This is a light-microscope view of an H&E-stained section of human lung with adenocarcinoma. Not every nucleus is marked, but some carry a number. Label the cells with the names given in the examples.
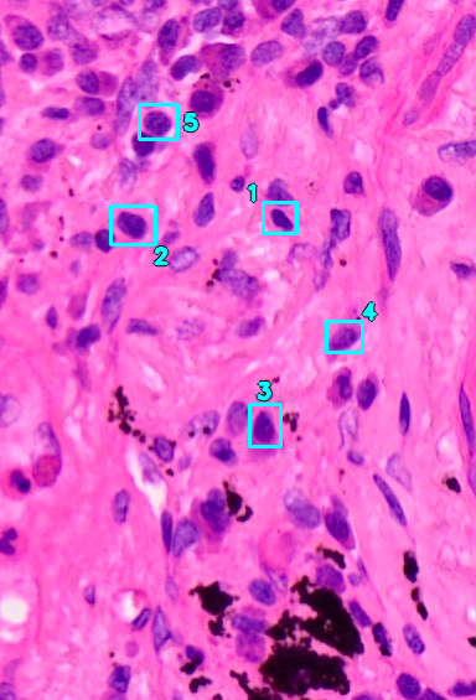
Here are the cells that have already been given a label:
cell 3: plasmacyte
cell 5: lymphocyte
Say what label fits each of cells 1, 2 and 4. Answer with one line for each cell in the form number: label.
1: lymphocyte
2: lymphocyte
4: plasmacyte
